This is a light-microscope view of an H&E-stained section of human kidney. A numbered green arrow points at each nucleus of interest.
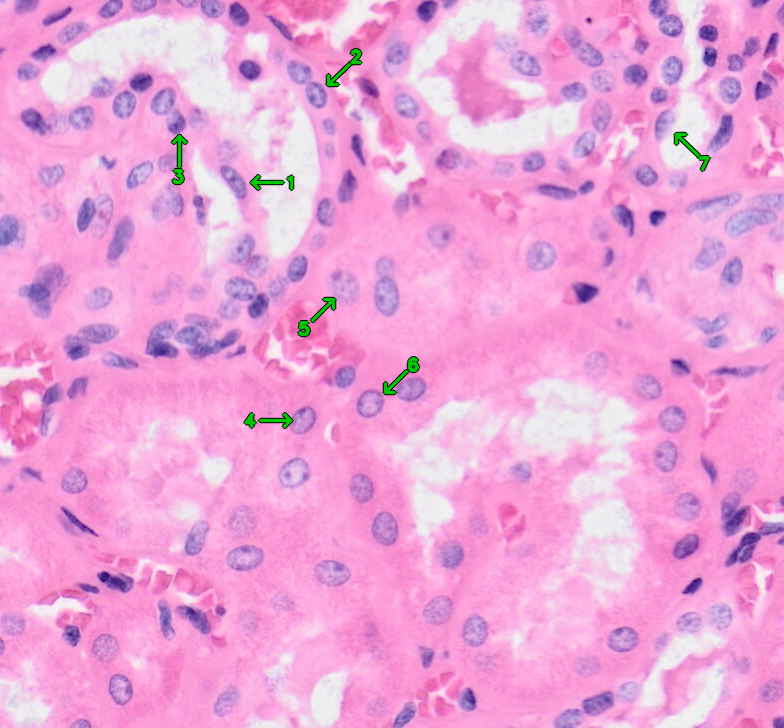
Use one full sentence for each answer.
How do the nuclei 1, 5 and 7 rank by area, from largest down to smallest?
From largest to smallest, the order is 5, 1, 7.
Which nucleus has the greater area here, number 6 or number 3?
At about 1.5 times the area of nucleus 3, nucleus 6 is the larger of the two.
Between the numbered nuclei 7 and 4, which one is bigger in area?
Number 4 is larger; its area is about 1.5 times that of number 7.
